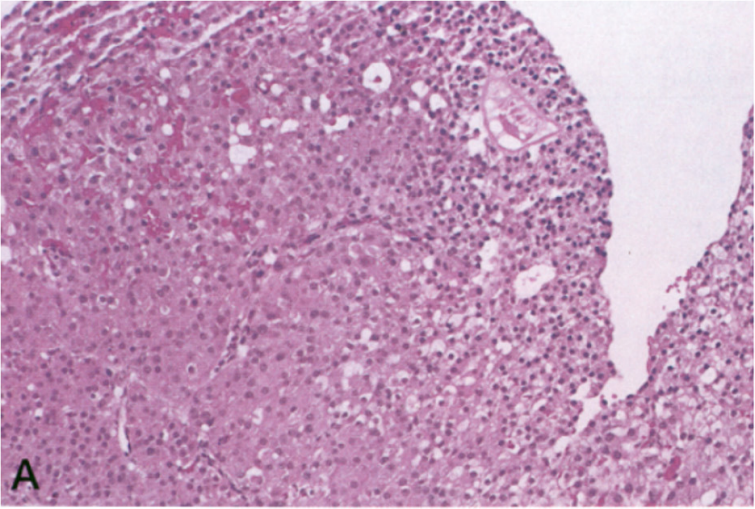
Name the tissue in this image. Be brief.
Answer: Luteinized follicle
